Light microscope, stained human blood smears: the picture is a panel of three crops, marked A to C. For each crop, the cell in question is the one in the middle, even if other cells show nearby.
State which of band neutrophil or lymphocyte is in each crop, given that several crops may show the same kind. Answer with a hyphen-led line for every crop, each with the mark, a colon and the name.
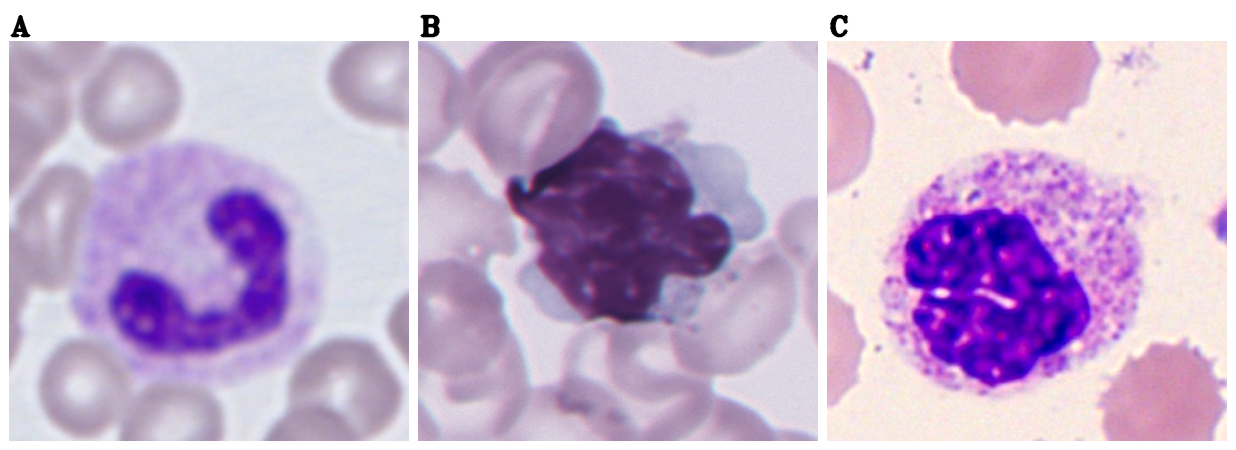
- A: band neutrophil
- B: lymphocyte
- C: band neutrophil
